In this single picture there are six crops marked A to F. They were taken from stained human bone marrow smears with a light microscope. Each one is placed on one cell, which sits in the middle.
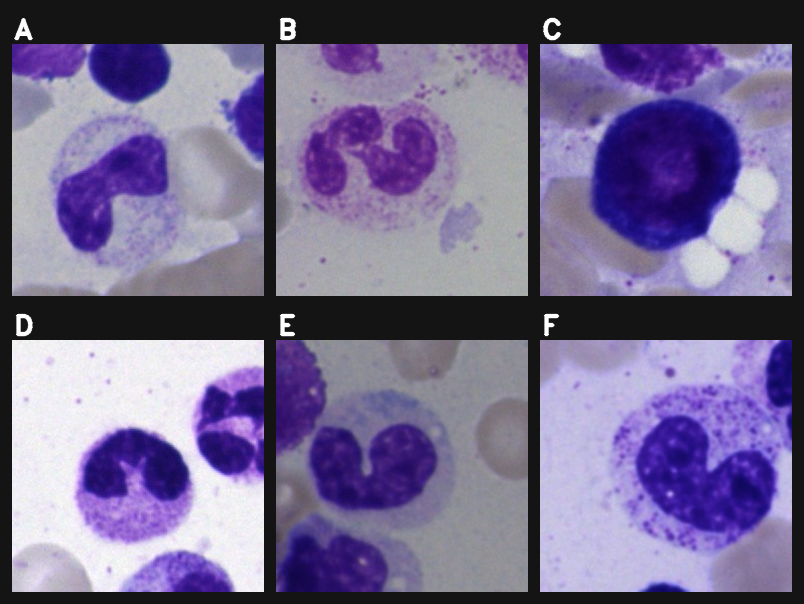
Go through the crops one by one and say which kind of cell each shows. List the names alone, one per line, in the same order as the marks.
band neutrophil
segmented neutrophil
proerythroblast
segmented neutrophil
band neutrophil
band neutrophil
